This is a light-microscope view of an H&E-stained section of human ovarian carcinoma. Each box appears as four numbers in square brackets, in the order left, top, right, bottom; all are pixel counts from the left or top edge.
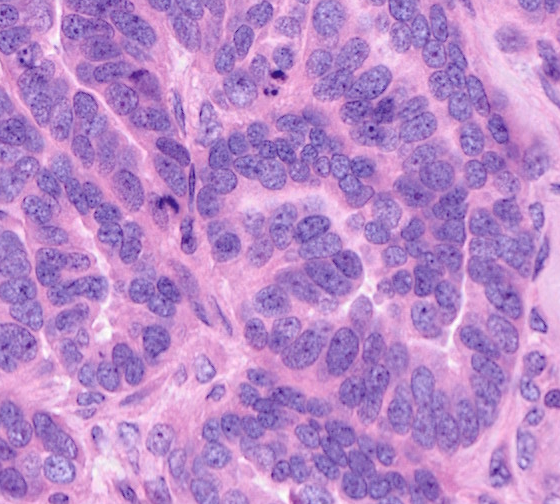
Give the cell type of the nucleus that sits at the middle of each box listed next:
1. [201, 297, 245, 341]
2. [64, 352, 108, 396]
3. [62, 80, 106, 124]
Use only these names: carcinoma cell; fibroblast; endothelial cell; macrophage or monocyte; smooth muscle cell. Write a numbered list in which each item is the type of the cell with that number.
1. fibroblast
2. carcinoma cell
3. carcinoma cell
